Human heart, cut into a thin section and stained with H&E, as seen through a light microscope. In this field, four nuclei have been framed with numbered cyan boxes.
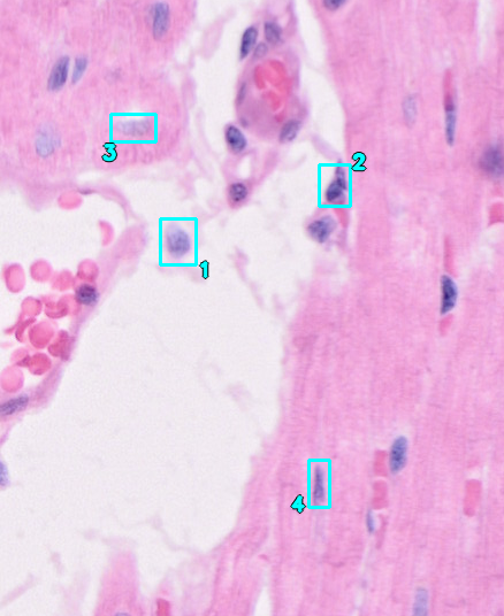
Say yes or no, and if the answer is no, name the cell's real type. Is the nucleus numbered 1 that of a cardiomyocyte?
No, it is a fibroblast.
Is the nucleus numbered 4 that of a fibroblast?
No, it is an endothelial cell.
